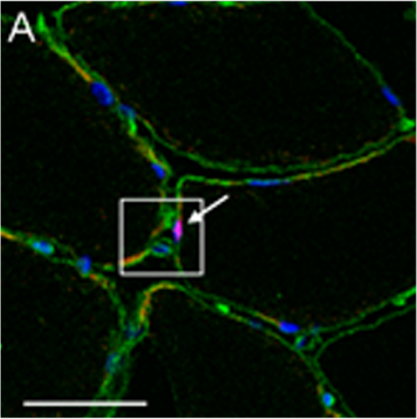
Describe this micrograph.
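Cross-section of skeletal muscle showing several large muscle fibers cut transversely, each outlined by a thin green border. Flattened blue nuclei lie at the periphery of the fibers along these borders, and one small elongated nucleus in the narrow space where fibers meet is stained magenta, red over blue.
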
